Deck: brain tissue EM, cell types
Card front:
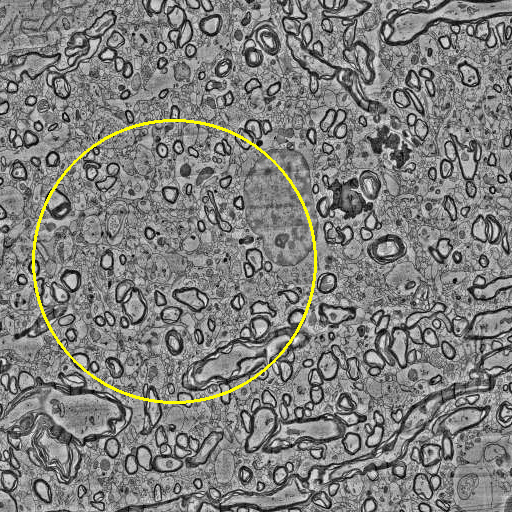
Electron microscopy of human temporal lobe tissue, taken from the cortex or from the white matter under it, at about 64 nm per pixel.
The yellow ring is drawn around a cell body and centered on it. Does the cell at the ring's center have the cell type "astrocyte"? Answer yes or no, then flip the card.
no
